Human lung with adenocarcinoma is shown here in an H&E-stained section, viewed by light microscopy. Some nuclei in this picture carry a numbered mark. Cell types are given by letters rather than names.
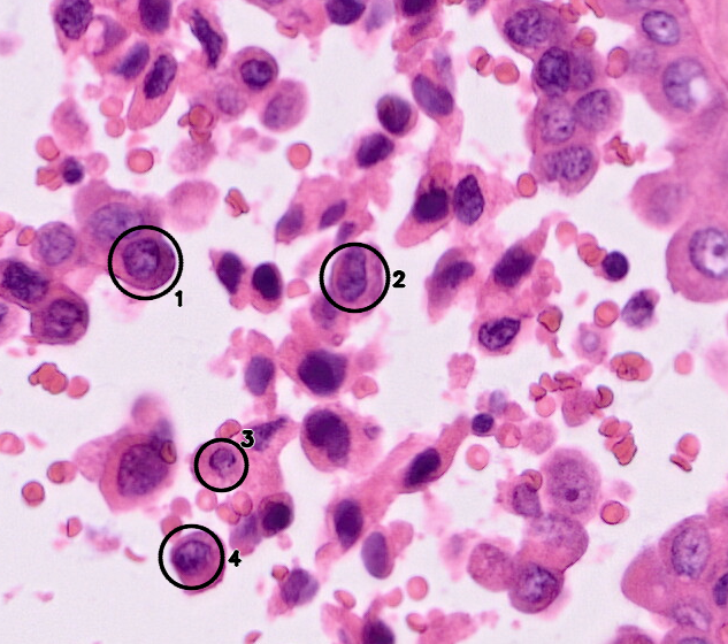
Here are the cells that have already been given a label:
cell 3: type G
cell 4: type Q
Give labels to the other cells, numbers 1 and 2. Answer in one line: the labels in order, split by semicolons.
type Q; type Q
